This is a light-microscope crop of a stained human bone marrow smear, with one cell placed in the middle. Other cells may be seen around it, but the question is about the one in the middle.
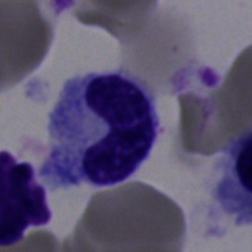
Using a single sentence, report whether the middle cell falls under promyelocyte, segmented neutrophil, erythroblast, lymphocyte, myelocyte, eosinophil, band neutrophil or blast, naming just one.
The centered cell in this crop is a band neutrophil.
